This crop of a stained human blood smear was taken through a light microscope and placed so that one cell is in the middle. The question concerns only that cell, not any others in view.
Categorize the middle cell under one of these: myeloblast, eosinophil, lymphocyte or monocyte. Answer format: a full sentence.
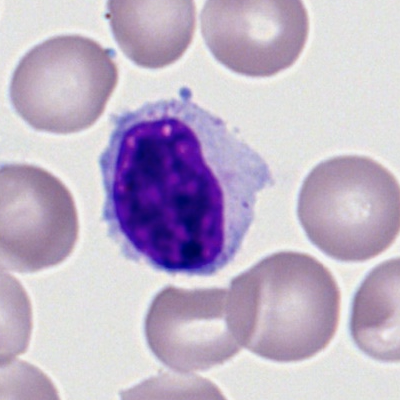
Where the crop is centred, there is a lymphocyte.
